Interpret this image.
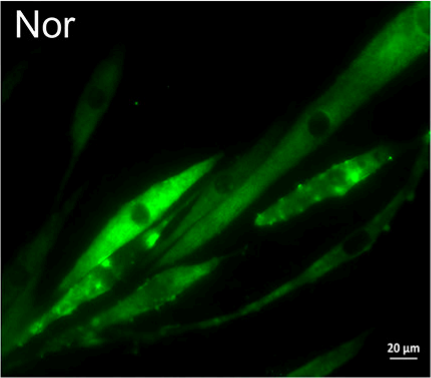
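These are cultured myotubes filling the field in green fluorescence: long, broad, tubular cells lying side by side and overlapping. Some cells show brighter, granular patches of green.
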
